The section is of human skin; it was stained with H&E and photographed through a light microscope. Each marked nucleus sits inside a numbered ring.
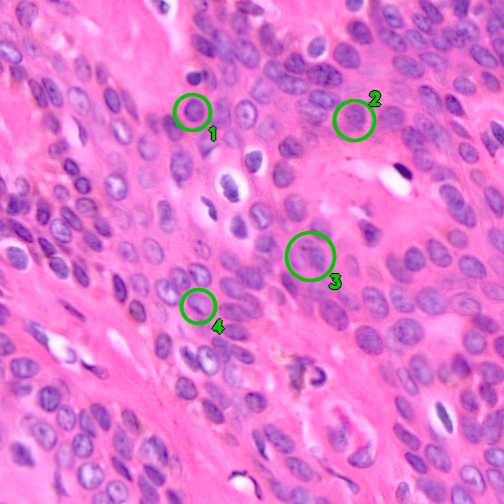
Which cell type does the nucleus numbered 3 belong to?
basal keratinocyte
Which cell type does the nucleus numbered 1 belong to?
basal keratinocyte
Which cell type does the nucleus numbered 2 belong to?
basal keratinocyte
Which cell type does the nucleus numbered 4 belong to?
suprabasal keratinocyte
